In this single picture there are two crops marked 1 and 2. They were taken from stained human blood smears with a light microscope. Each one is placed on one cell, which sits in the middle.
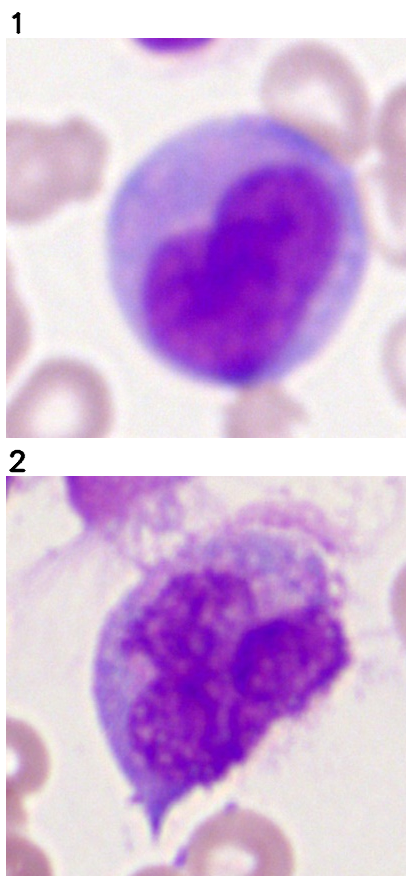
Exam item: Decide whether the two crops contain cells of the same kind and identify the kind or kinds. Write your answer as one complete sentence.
Yes, both crops show monocytes, with no exception.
